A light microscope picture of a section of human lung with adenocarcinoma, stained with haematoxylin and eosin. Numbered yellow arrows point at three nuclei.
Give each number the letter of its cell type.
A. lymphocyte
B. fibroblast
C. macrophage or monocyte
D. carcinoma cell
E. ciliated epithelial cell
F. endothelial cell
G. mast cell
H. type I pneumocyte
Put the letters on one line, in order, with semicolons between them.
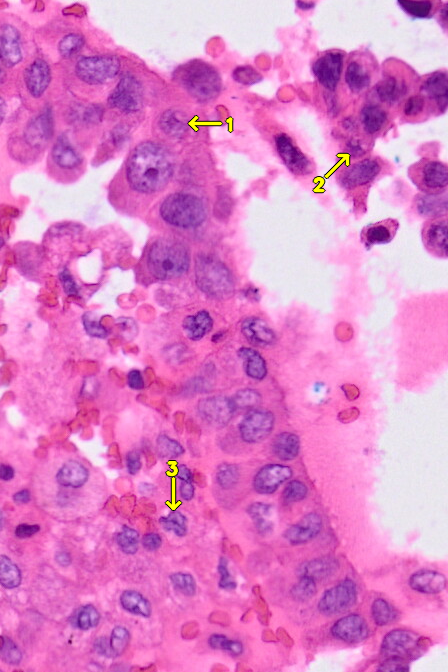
D; D; C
